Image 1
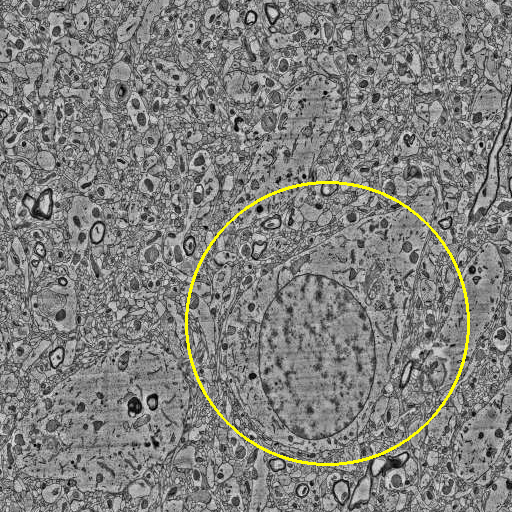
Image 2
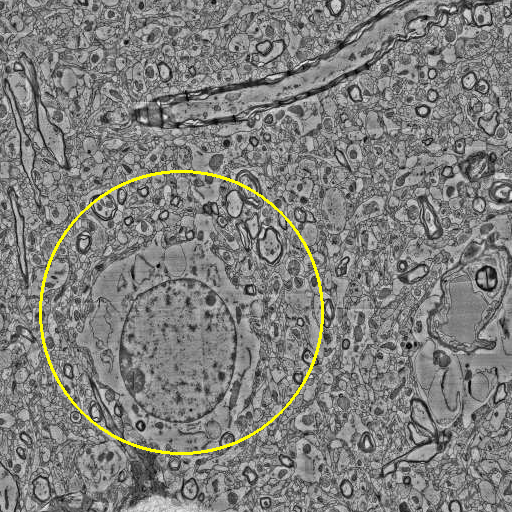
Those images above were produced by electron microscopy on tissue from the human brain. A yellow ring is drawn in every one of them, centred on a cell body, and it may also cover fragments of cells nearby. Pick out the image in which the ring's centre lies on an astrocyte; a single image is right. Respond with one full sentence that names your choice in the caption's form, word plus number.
Image 2 is my choice: its ring is centred on the requested cell.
